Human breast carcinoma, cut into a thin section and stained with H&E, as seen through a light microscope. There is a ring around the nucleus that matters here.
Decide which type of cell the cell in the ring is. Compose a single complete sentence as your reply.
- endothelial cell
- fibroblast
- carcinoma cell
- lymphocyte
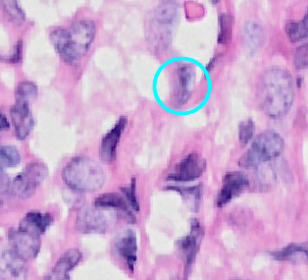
Labelled by cell type, the cell in the ring is an endothelial cell.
